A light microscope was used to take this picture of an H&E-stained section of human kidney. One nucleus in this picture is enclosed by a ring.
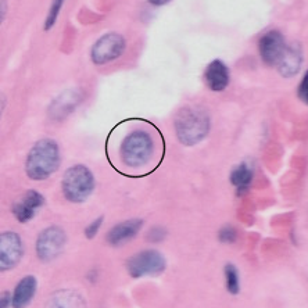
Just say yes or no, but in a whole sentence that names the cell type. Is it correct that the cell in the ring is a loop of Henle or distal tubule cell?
Yes, the cell in the ring is assigned the identity of a loop of Henle or distal tubule cell.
